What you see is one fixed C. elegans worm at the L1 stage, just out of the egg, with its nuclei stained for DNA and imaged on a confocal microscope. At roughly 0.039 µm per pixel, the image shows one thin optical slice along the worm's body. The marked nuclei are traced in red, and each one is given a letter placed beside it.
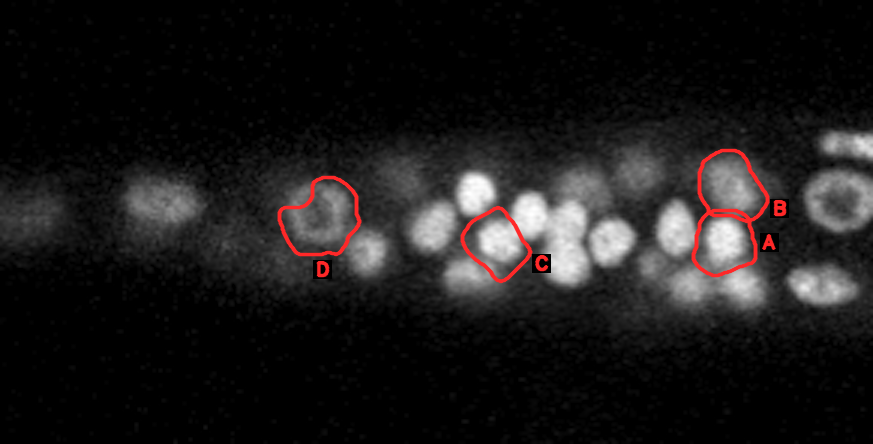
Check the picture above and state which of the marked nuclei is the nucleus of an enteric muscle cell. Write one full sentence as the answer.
A is from an enteric muscle cell.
